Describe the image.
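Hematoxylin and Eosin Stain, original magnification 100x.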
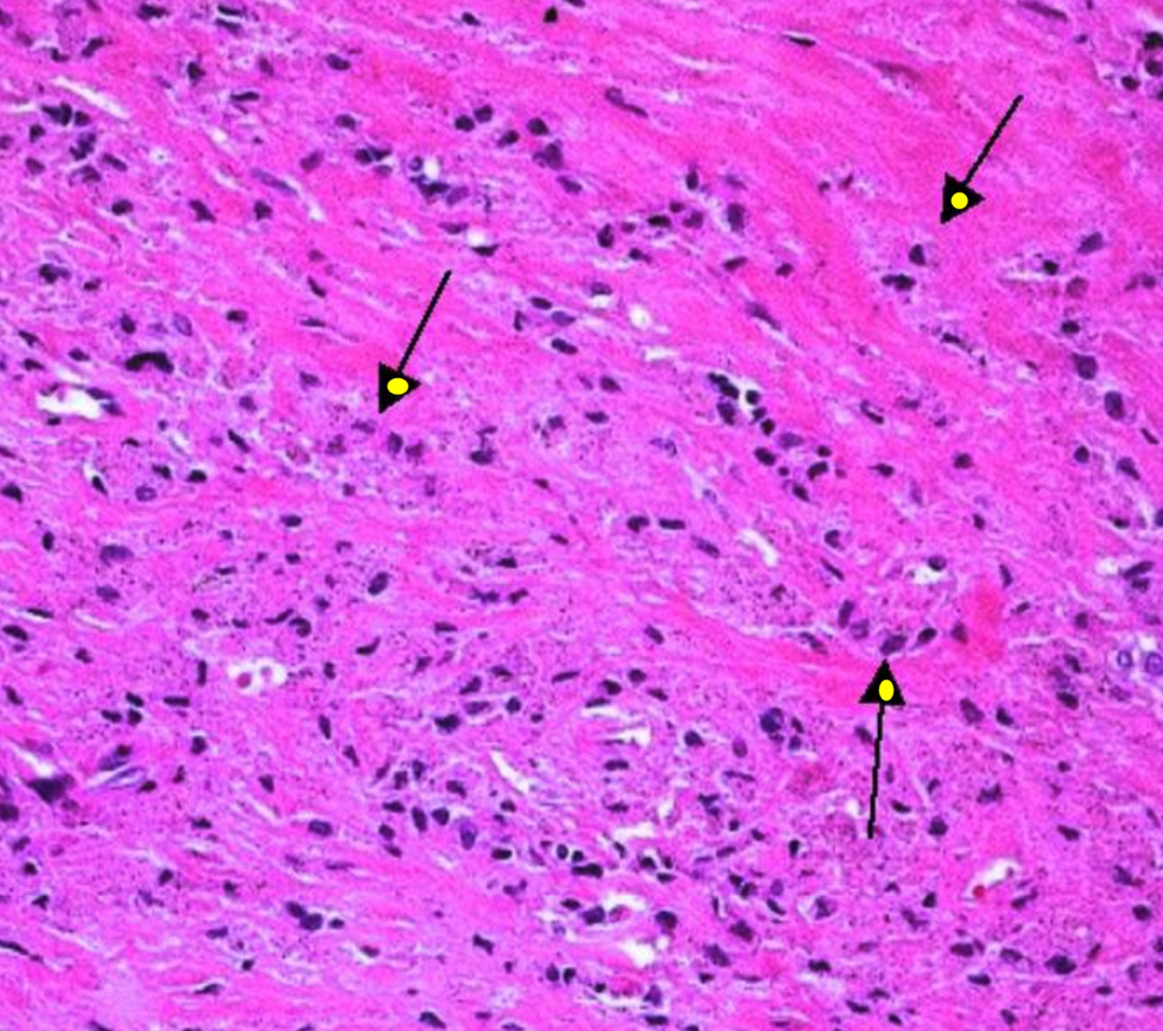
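Fibroconnective tissue with wavy, pink-staining fibrous bundles that run diagonally across the field, with scattered elongated and oval dark purple nuclei between them. Between the bundles are paler patches that contain fine, dark granular pigmented deposits among loosely arranged cells.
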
